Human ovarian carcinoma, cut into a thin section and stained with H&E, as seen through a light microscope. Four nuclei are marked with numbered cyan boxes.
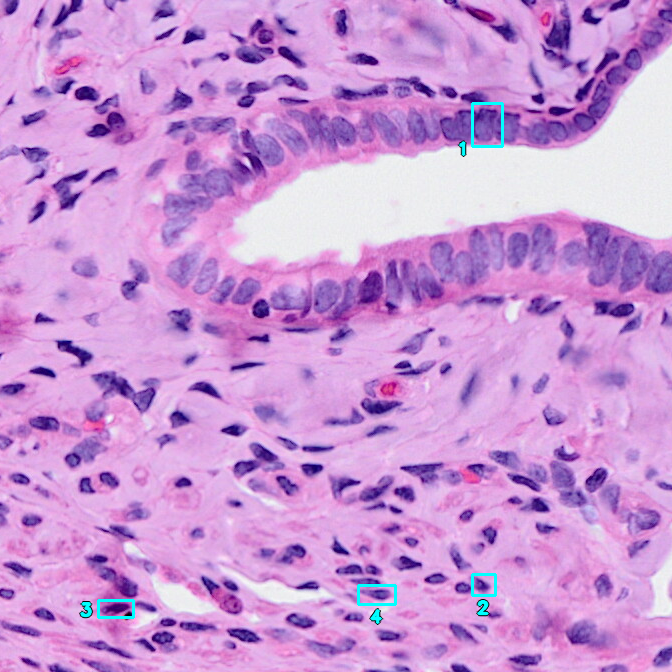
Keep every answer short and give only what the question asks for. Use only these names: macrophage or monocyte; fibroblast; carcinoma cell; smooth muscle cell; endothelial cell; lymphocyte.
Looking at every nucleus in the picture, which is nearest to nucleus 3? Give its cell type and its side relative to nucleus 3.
a smooth muscle cell above and to the right of nucleus 3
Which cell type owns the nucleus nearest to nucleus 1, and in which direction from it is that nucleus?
a carcinoma cell to the right of nucleus 1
